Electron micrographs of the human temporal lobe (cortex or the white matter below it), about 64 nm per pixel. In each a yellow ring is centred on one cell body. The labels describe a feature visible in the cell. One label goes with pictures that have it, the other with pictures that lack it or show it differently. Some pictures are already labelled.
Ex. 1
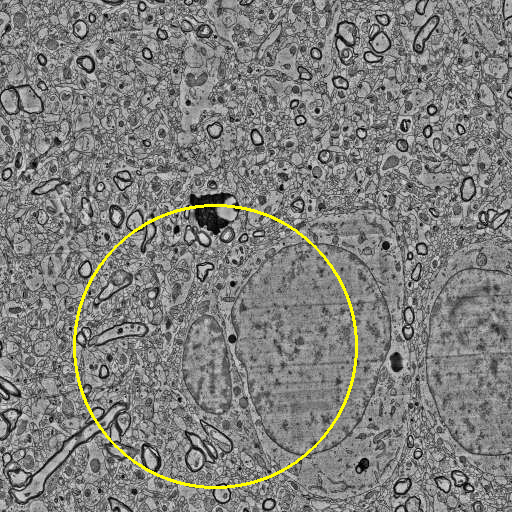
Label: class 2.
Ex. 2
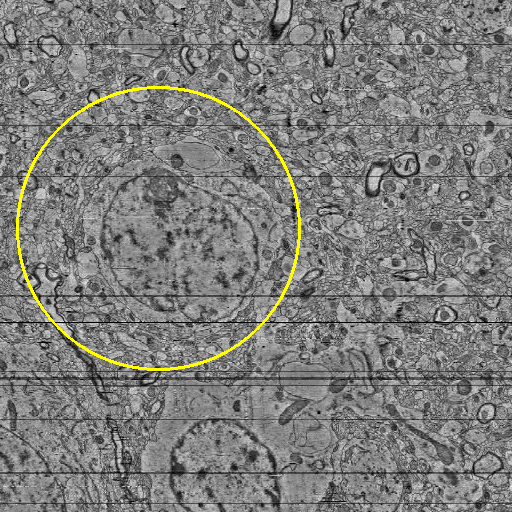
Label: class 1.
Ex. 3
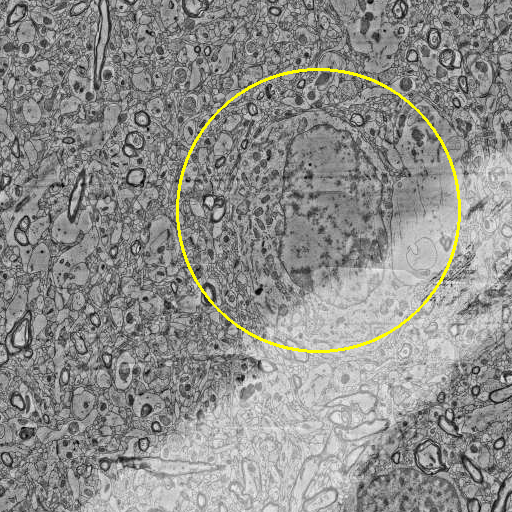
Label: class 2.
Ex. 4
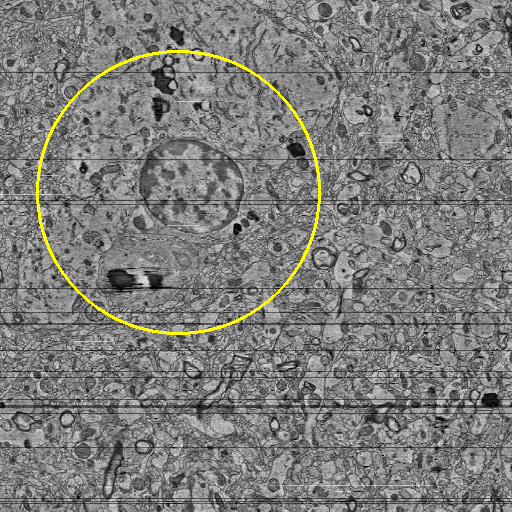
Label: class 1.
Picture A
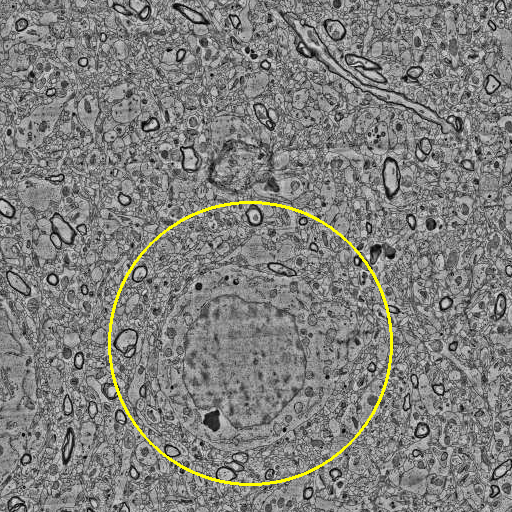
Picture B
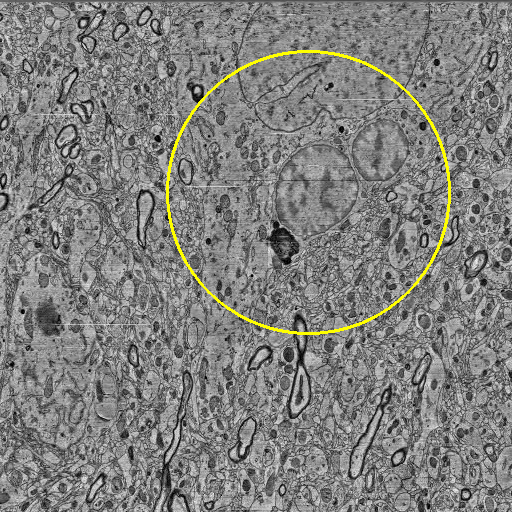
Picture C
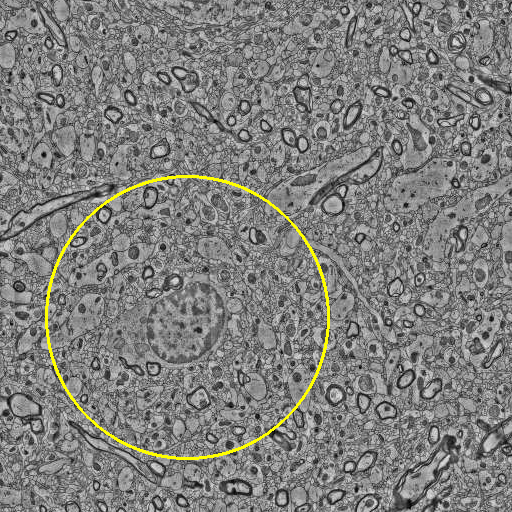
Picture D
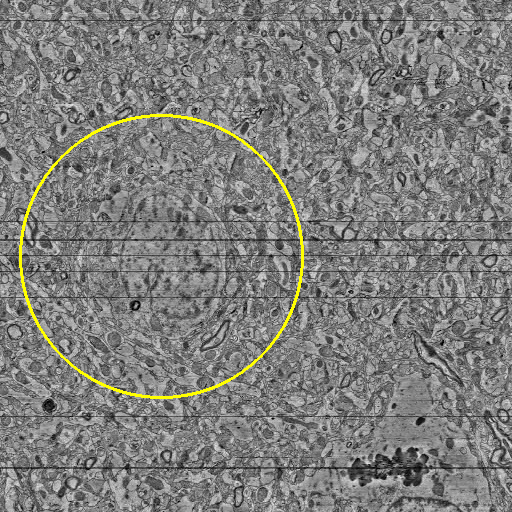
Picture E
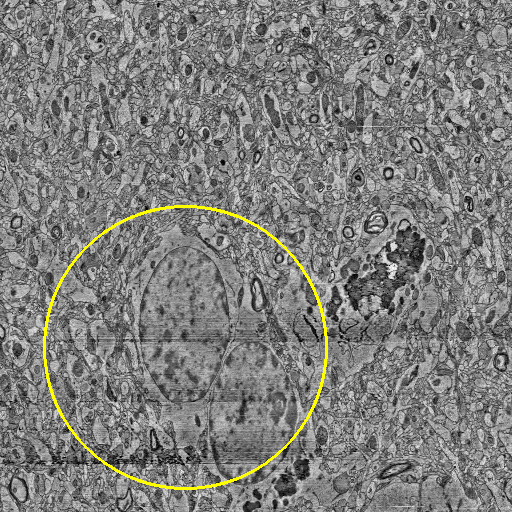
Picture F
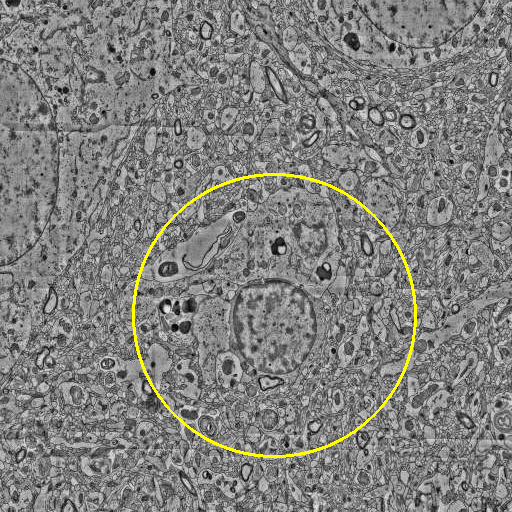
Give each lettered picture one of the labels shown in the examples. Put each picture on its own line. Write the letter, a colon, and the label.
A: class 1.
B: class 1.
C: class 1.
D: class 1.
E: class 2.
F: class 1.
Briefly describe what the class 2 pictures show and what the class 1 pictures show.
class 2, clearly elongated nuclei; class 1, round or nearly round nuclei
